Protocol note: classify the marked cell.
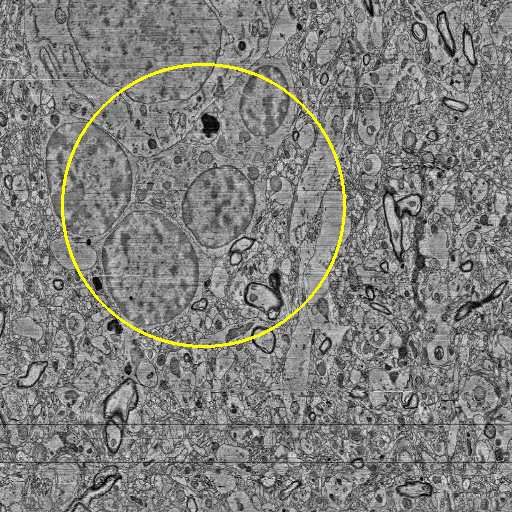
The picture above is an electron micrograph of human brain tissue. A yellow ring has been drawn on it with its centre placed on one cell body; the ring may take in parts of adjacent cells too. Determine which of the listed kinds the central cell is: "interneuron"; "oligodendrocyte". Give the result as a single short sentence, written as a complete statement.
The central cell is an oligodendrocyte.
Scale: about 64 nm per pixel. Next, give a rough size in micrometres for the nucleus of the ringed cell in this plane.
In this plane the nucleus measures roughly 6 by 4 micrometers.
